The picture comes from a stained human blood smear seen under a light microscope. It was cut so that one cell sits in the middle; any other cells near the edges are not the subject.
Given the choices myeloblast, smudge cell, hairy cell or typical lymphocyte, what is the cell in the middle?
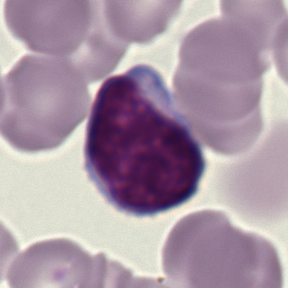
typical lymphocyte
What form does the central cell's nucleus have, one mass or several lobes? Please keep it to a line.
If you check the nucleus, you will find one compact mass, round, oval or kidney-shaped.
